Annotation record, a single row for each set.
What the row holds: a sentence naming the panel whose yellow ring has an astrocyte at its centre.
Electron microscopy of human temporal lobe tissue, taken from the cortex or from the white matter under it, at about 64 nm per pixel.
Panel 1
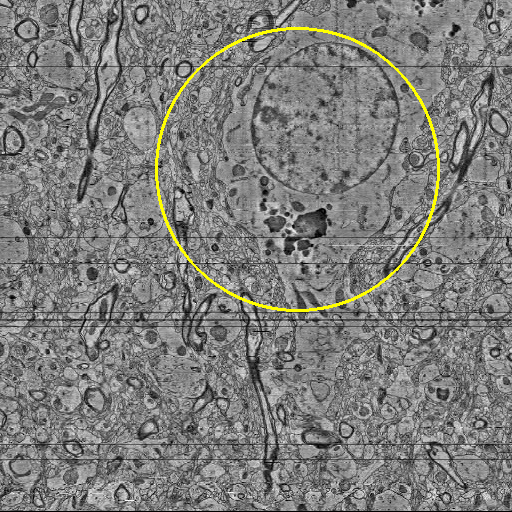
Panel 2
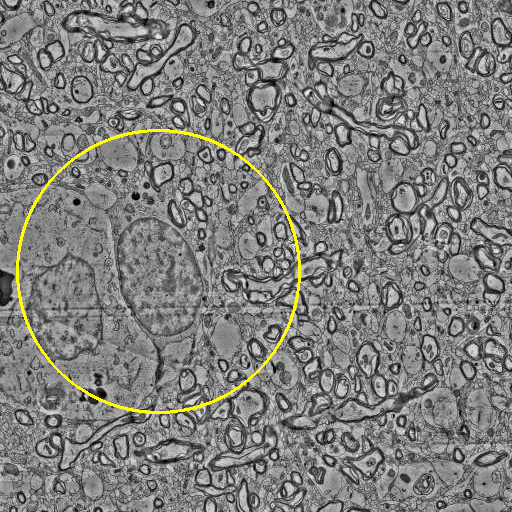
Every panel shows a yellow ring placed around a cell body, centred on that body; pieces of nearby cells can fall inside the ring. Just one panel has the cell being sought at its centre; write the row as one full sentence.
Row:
In panel 1, the cell at the middle of the yellow ring is the one sought.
